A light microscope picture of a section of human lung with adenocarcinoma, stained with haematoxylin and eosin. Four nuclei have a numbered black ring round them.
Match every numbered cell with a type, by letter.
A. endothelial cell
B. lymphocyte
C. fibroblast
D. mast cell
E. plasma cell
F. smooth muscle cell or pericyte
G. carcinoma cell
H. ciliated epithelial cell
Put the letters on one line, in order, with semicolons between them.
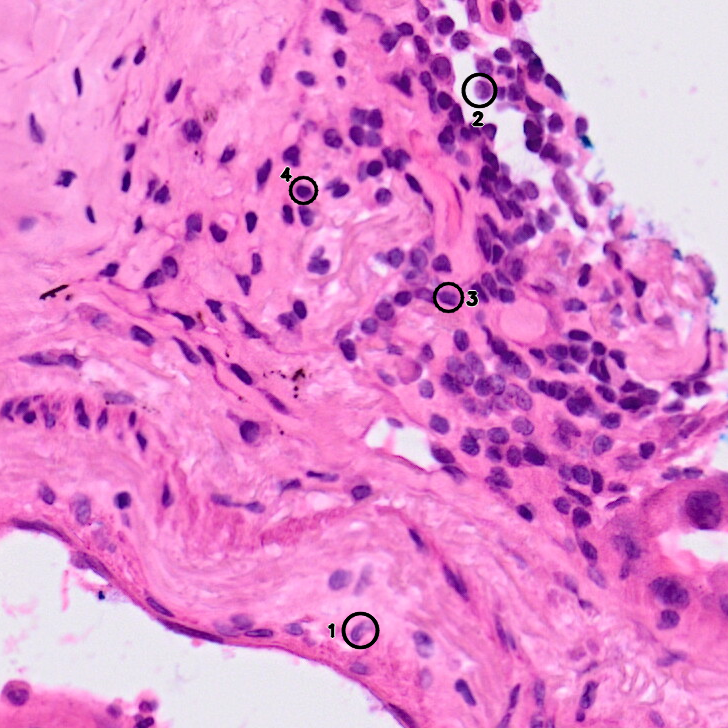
F; B; B; B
